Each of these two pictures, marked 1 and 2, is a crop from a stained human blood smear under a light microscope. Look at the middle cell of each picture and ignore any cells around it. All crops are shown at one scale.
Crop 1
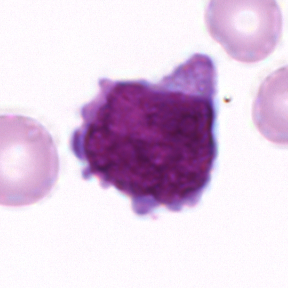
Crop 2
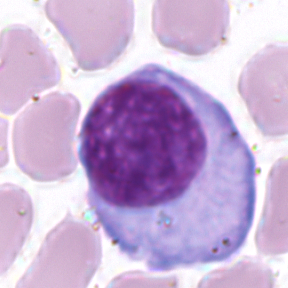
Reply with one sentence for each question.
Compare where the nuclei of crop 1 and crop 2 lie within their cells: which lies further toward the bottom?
It is the nucleus in crop 1 that lies further toward the bottom of its cell.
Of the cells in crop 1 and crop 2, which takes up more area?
Crop 2 holds the larger cell; it covers about 1.5 times the area of the cell in crop 1.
